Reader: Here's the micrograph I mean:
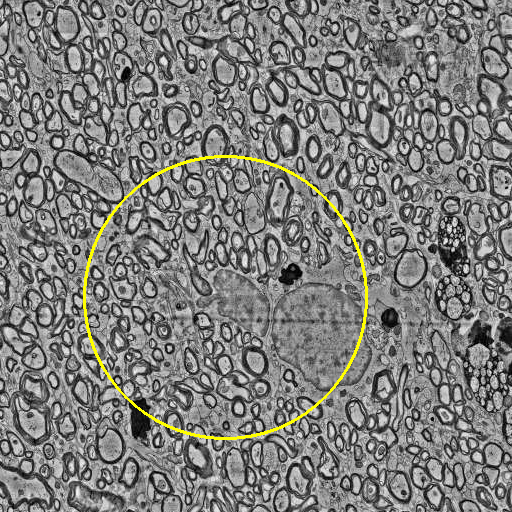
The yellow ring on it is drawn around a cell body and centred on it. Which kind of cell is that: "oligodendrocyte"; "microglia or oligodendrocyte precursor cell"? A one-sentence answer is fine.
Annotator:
The ring is centred on an oligodendrocyte.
